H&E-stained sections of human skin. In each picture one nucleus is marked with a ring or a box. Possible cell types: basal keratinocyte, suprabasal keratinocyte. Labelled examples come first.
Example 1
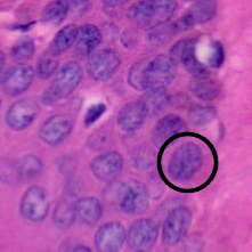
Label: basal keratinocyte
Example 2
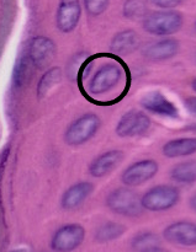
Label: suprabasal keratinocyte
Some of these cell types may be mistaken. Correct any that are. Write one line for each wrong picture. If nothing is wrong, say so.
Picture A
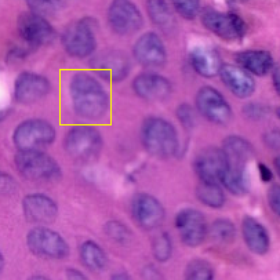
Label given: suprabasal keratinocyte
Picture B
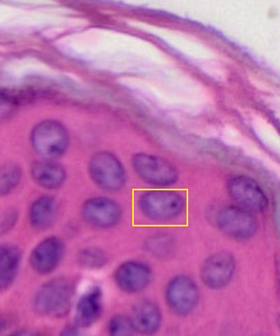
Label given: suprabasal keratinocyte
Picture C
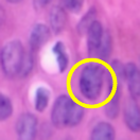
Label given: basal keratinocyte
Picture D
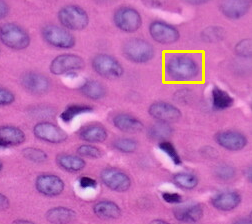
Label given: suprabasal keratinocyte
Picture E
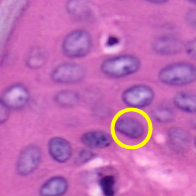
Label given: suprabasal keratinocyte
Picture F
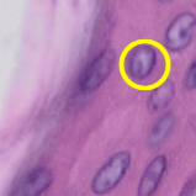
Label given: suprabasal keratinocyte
E should be basal keratinocyte, not suprabasal keratinocyte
